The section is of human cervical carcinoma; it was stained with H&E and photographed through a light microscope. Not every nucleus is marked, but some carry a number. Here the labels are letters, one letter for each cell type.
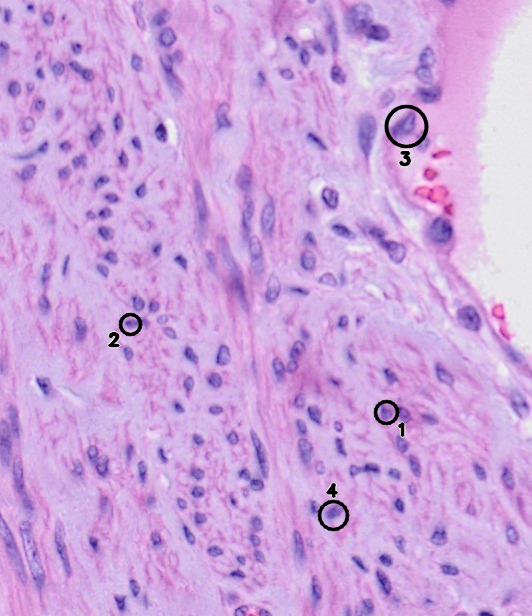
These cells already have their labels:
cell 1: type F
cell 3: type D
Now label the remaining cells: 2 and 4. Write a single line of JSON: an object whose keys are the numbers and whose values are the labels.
{"2": "type F", "4": "type F"}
